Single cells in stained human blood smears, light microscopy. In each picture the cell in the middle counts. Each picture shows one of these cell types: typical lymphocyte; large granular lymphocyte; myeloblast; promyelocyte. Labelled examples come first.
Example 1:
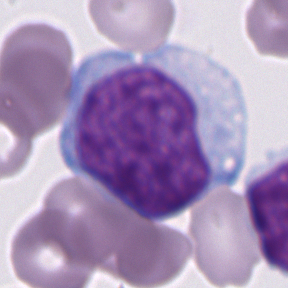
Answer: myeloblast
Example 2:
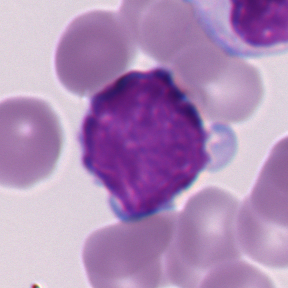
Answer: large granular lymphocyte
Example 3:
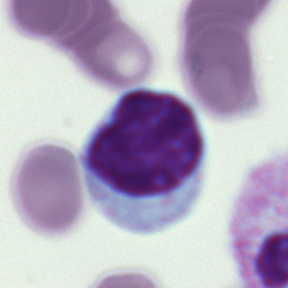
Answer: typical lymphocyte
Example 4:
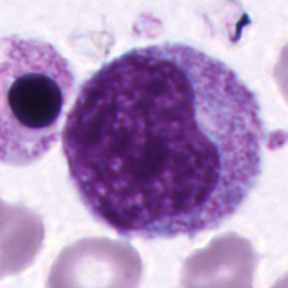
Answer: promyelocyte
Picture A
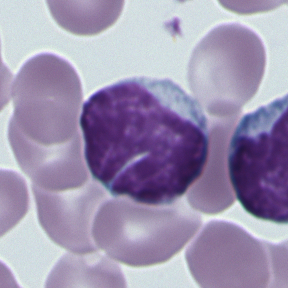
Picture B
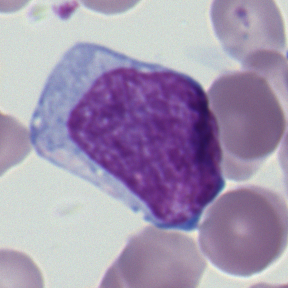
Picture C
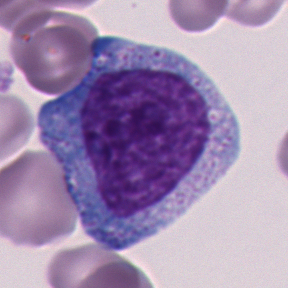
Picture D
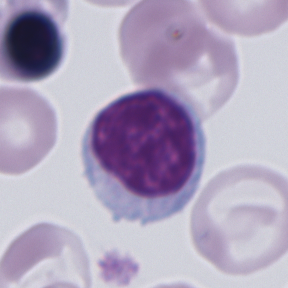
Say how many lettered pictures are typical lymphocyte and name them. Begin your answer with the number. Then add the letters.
2, namely A, D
